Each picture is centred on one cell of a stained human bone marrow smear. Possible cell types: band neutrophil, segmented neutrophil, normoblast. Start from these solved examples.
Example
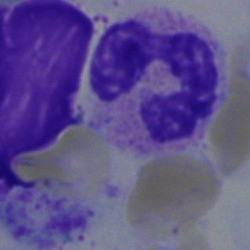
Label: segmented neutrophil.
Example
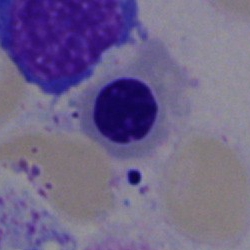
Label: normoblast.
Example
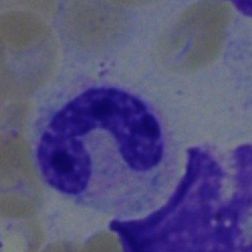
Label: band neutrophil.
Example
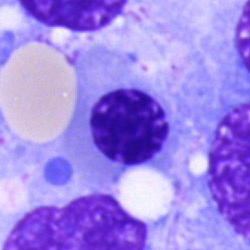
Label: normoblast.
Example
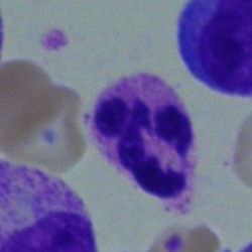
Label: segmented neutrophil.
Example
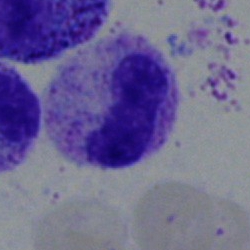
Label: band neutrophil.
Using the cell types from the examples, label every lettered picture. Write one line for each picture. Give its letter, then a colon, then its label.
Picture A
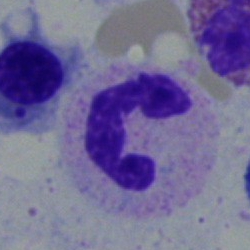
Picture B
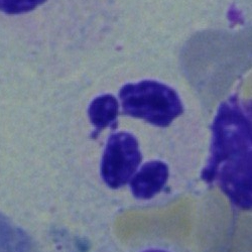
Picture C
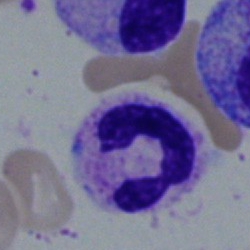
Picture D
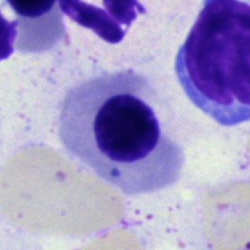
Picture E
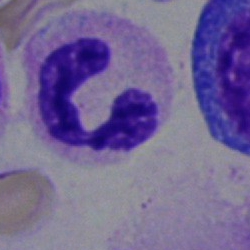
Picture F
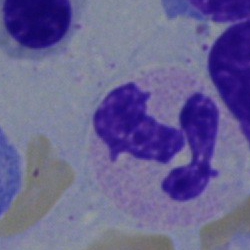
A: band neutrophil.
B: segmented neutrophil.
C: segmented neutrophil.
D: normoblast.
E: segmented neutrophil.
F: segmented neutrophil.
